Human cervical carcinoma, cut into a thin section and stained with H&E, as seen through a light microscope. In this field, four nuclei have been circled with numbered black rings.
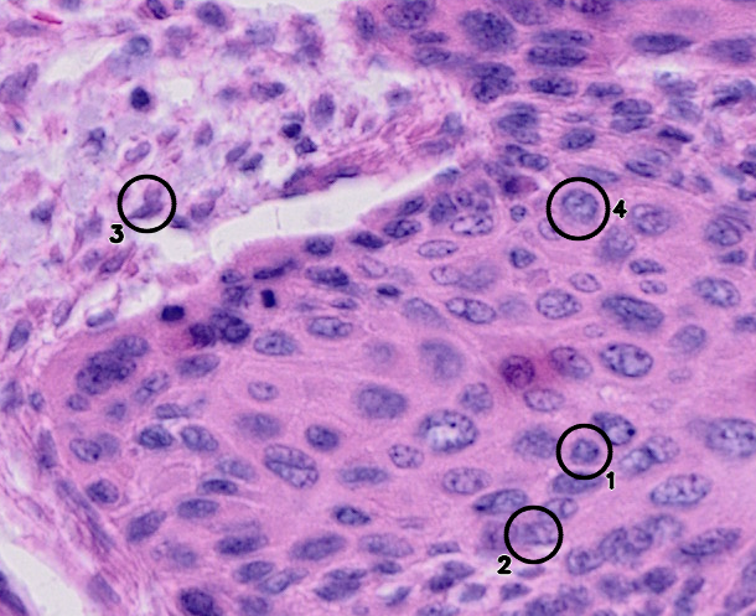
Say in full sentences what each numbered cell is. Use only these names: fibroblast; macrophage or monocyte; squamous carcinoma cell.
Cells 1, 2 and 4 are squamous carcinoma cells. Cell 3 is a fibroblast.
